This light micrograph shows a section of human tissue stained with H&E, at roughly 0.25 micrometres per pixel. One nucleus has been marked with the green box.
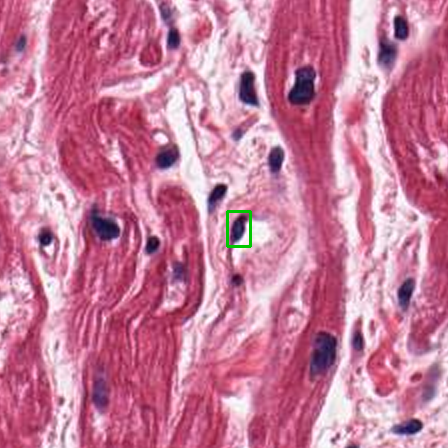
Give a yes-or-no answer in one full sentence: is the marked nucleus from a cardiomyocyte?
No, the marked nucleus does not form part of a cardiomyocyte, being part of a supporting cell.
